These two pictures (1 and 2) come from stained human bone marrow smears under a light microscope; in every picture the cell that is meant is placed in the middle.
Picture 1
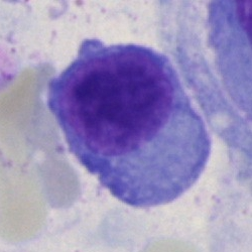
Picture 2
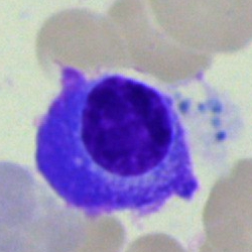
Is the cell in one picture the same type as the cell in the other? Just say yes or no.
yes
